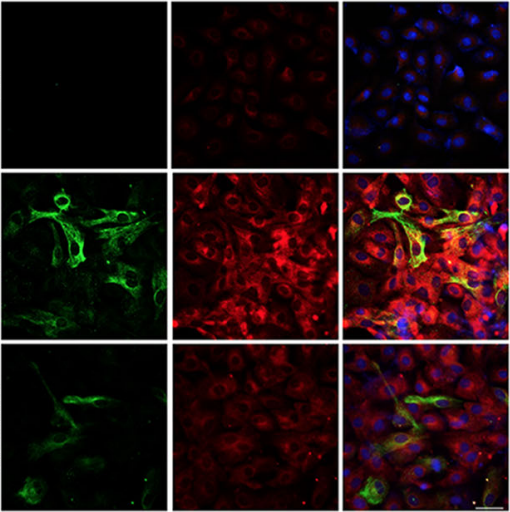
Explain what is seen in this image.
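This is a grid of fluorescence images of cultured cells growing as a sheet, with each row shown as a green channel, a red channel and a merged view. Blue oval nuclei sit one per cell, and red staining fills the cytoplasm around each nucleus. In the middle row the red cytoplasm is brighter, and scattered cells are elongated and spindle-shaped, with bright green filaments running through their cytoplasm. In the bottom row fewer cells carry green filaments, and the layer looks more like the closely packed top row.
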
